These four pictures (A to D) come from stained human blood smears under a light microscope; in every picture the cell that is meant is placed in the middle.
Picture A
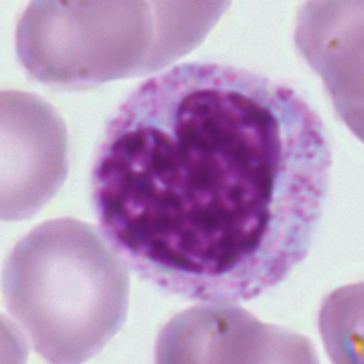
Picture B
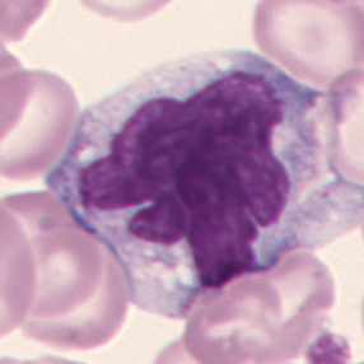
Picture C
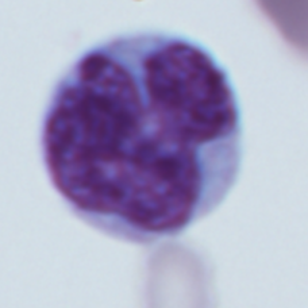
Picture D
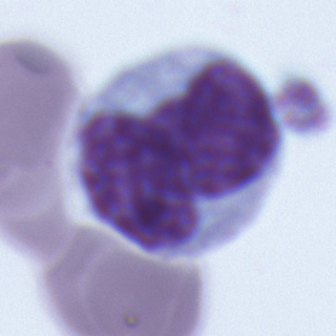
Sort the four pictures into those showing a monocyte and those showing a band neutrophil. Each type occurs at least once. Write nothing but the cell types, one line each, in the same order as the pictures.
band neutrophil
monocyte
monocyte
monocyte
